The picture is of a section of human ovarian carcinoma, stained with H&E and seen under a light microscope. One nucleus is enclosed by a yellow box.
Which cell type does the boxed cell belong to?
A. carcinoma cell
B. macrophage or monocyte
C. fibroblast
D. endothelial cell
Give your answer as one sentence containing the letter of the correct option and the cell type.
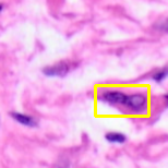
Identified correctly by option D, the boxed cell is an endothelial cell.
